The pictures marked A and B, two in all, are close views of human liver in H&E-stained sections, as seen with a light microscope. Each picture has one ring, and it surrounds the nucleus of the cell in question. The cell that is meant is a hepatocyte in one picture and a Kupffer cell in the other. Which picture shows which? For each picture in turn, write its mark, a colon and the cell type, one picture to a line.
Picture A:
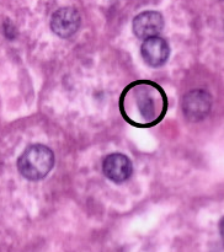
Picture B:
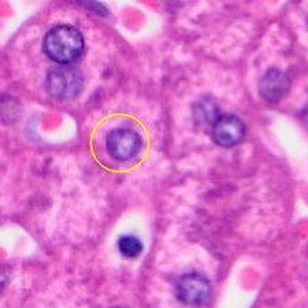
A: Kupffer cell
B: hepatocyte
